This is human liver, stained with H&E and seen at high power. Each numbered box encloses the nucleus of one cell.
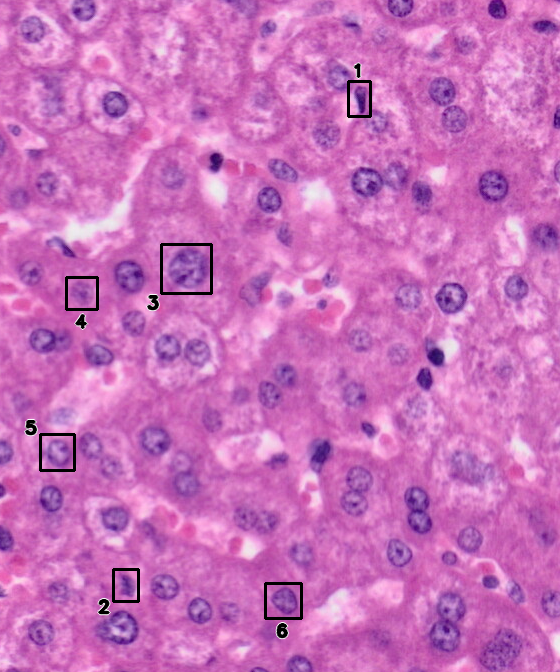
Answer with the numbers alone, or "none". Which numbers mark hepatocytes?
3, 4, 5, 6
